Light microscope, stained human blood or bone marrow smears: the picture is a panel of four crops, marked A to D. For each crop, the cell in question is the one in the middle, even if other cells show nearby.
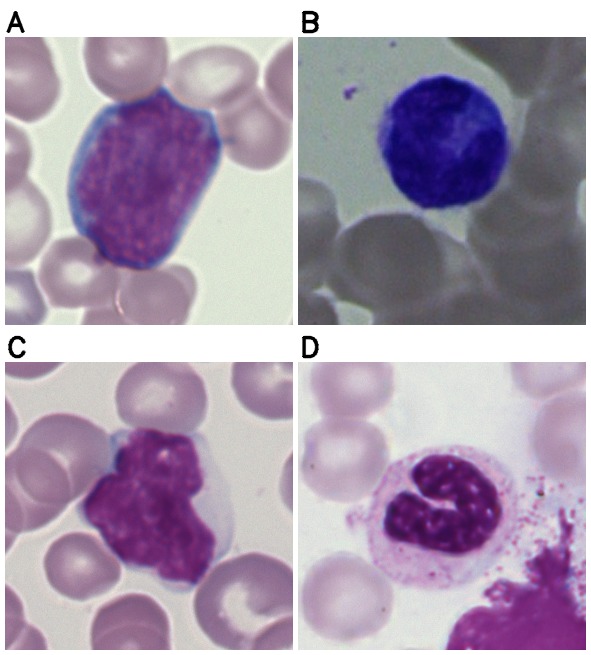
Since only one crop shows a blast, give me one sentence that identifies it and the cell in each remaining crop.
The middle of crop A holds a blast, while crop B is a monocyte, crop C is a lymphocyte and crop D is a band neutrophil.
